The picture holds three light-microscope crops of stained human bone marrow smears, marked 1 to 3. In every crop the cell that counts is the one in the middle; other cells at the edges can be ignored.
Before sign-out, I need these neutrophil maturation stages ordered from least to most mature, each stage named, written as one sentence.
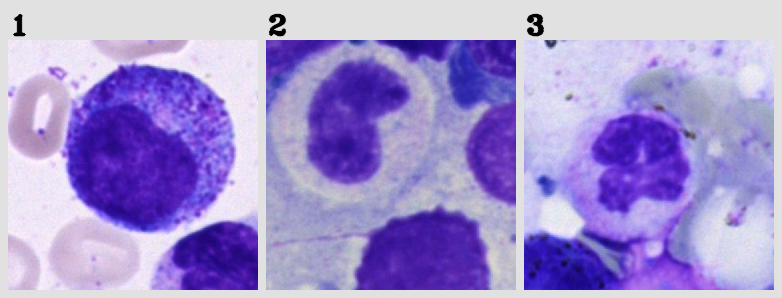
From the earliest stage to the most mature one, the order is crop 1 (a promyelocyte), crop 2 (a band neutrophil) and crop 3 (a segmented neutrophil).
